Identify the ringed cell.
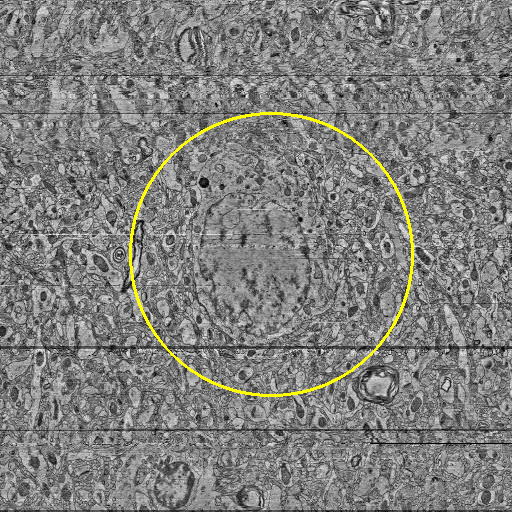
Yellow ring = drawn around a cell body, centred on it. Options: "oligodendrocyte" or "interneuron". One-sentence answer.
What the ring is centred on is an interneuron.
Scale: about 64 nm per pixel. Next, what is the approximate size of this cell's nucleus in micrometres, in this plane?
Approximately 10 by 7 micrometers in this plane.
